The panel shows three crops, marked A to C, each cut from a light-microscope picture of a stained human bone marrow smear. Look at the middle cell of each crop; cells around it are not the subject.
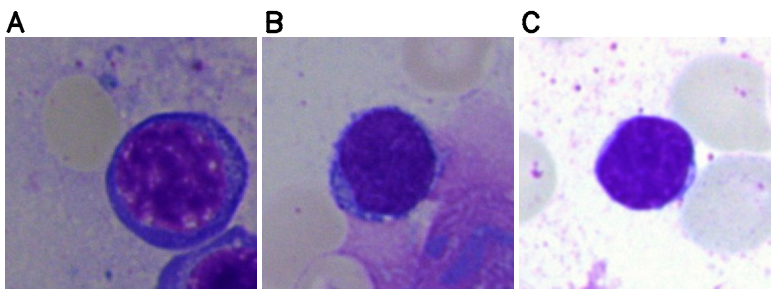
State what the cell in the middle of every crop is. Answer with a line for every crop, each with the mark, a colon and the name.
A: erythroblast
B: lymphocyte
C: lymphocyte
